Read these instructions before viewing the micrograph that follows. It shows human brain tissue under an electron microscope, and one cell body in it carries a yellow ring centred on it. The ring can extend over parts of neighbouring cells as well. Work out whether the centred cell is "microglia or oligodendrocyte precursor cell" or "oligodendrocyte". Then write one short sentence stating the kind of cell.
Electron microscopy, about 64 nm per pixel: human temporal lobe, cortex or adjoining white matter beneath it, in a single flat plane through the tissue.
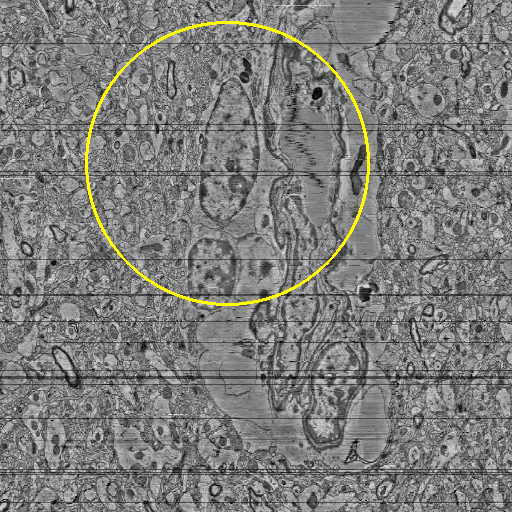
The ringed cell is a microglial cell or oligodendrocyte precursor cell.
